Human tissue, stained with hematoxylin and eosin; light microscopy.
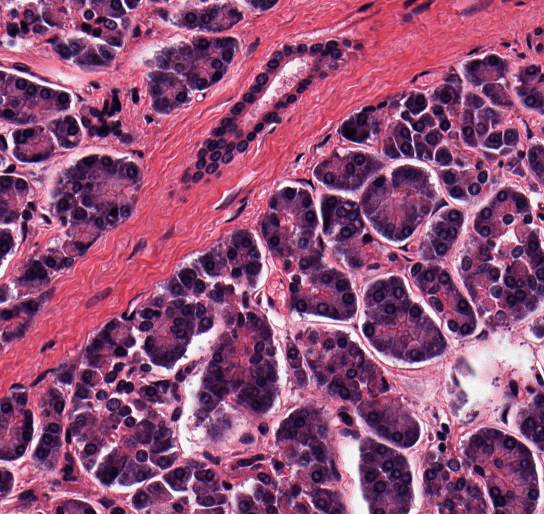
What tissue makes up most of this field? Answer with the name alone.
exocrine pancreas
